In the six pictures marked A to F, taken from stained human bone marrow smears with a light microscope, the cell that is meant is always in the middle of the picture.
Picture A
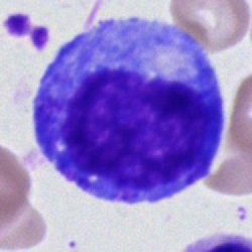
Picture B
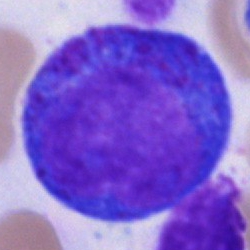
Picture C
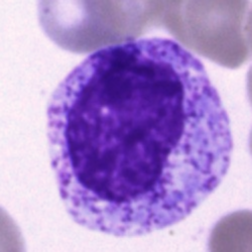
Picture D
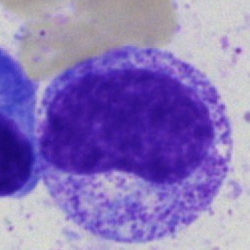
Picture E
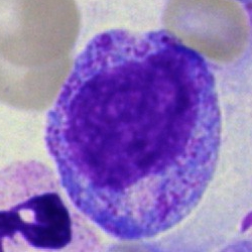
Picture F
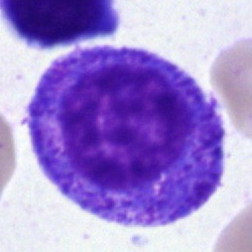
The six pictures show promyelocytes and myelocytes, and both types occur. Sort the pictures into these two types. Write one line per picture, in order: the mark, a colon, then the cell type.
A: promyelocyte
B: promyelocyte
C: myelocyte
D: myelocyte
E: myelocyte
F: promyelocyte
